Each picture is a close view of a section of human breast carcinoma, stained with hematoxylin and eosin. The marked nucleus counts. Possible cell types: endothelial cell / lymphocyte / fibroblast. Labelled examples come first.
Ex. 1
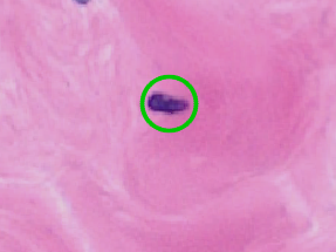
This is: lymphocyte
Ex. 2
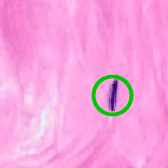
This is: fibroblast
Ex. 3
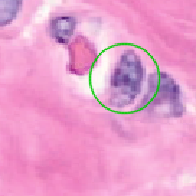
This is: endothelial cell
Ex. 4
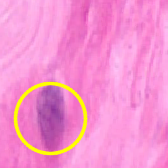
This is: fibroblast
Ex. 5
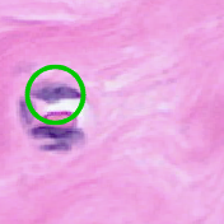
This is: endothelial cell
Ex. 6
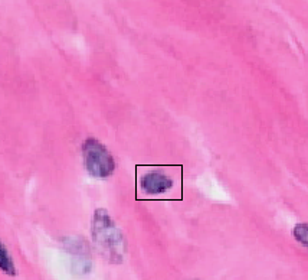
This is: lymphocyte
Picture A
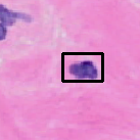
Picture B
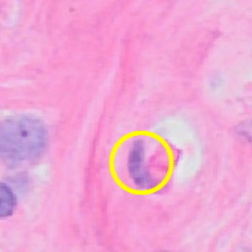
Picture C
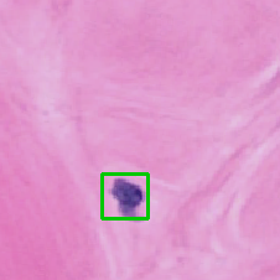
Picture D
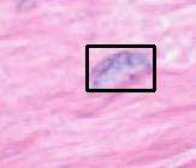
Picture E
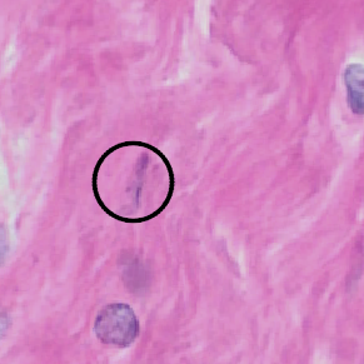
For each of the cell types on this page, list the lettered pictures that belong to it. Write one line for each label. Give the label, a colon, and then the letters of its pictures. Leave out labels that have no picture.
endothelial cell: B
lymphocyte: A, C
fibroblast: D, E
